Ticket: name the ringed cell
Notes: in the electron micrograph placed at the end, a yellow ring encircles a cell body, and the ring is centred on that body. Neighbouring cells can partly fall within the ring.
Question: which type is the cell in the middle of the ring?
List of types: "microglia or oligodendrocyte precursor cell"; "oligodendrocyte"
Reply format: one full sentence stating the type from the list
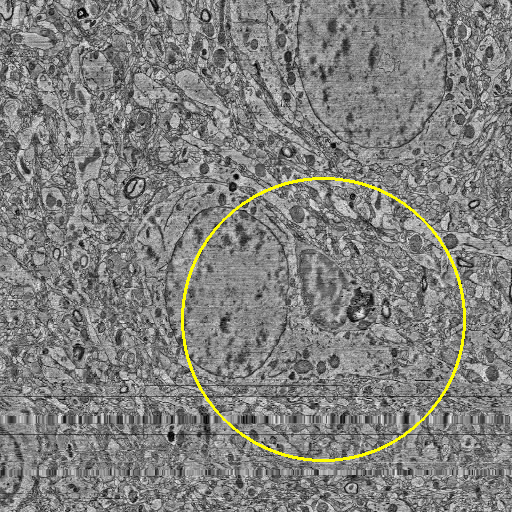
The cell sitting at the centre of the yellow ring is an oligodendrocyte.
